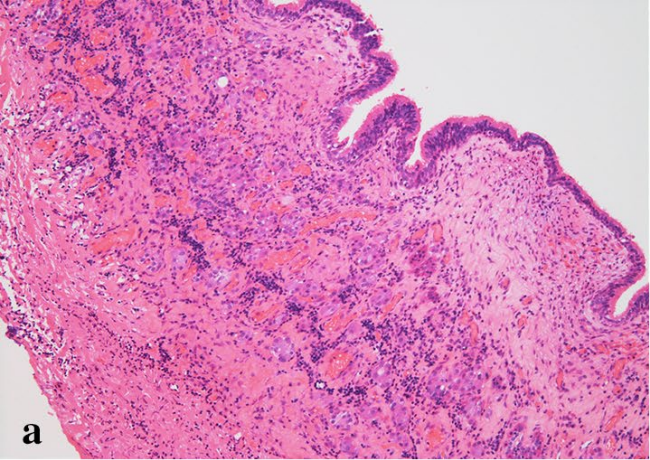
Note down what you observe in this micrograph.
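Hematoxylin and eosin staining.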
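This is the wall of a lesion lined by epithelium, with inflamed tissue beneath it. Deeper, the tissue is more cellular, with nests of larger cells with pink cytoplasm, many congested vessels and bands of small dark round cells.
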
